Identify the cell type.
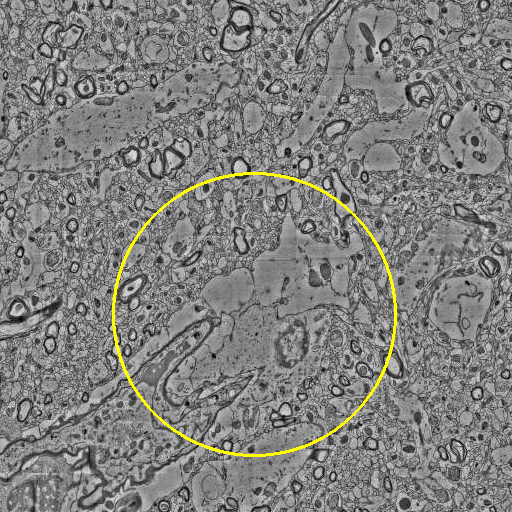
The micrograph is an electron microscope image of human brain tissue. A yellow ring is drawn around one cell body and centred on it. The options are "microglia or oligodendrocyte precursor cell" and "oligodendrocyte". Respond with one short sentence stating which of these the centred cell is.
The cell body in the ring belongs to a microglial cell or oligodendrocyte precursor cell.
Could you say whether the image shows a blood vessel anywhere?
Yes.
